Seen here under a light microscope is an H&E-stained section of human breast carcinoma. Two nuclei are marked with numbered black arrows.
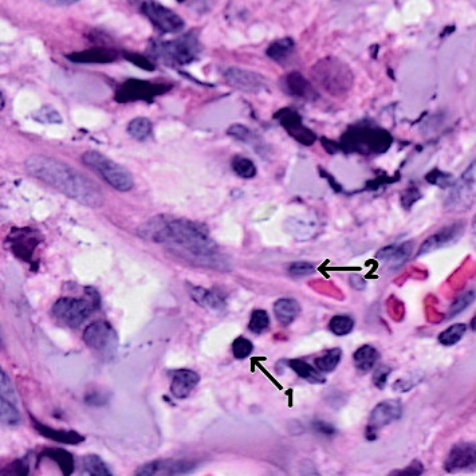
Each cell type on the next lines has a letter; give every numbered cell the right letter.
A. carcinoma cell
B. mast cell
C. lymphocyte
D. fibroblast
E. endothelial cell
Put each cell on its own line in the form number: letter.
1: C
2: E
